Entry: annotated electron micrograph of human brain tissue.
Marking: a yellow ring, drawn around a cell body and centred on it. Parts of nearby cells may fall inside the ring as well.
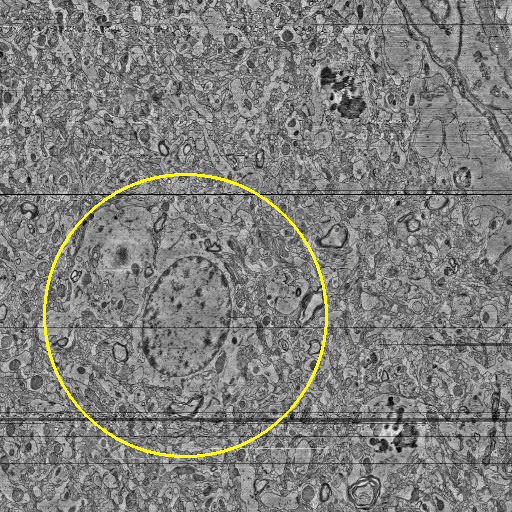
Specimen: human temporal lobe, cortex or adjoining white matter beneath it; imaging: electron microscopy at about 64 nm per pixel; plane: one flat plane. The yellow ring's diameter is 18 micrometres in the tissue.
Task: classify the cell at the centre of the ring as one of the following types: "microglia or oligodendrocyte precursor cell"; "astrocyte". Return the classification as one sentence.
The marked cell is classified as an astrocyte.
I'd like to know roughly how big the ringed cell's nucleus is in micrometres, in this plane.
In this plane the nucleus measures roughly 8 by 5 micrometres.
